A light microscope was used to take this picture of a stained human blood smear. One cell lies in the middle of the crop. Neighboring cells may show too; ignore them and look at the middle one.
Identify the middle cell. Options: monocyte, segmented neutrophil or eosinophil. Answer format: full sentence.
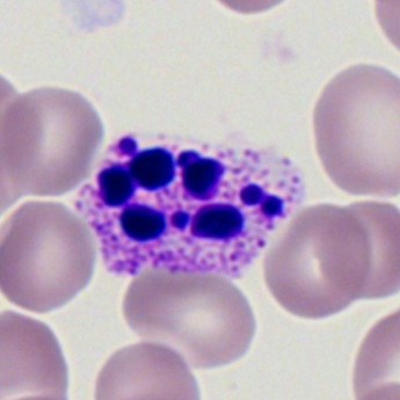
Seen at the centre of the crop is a segmented neutrophil.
